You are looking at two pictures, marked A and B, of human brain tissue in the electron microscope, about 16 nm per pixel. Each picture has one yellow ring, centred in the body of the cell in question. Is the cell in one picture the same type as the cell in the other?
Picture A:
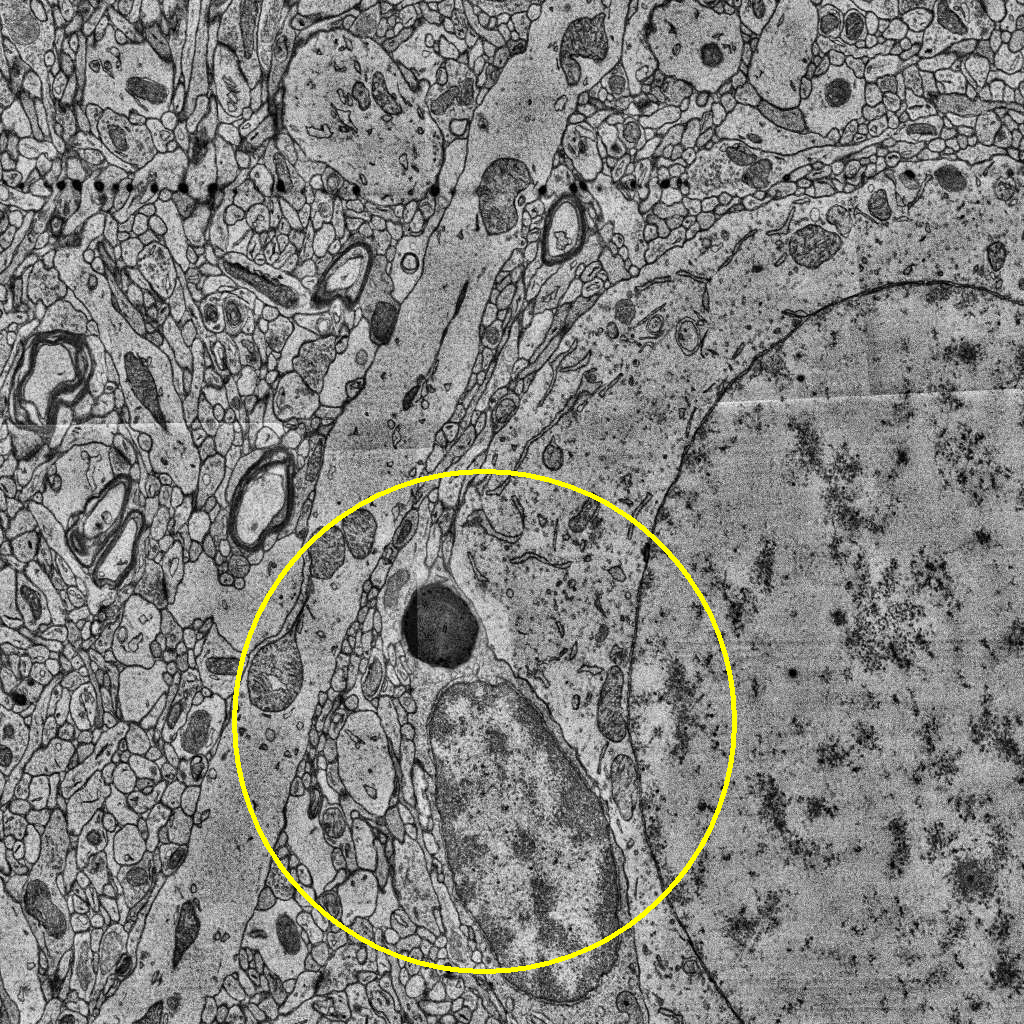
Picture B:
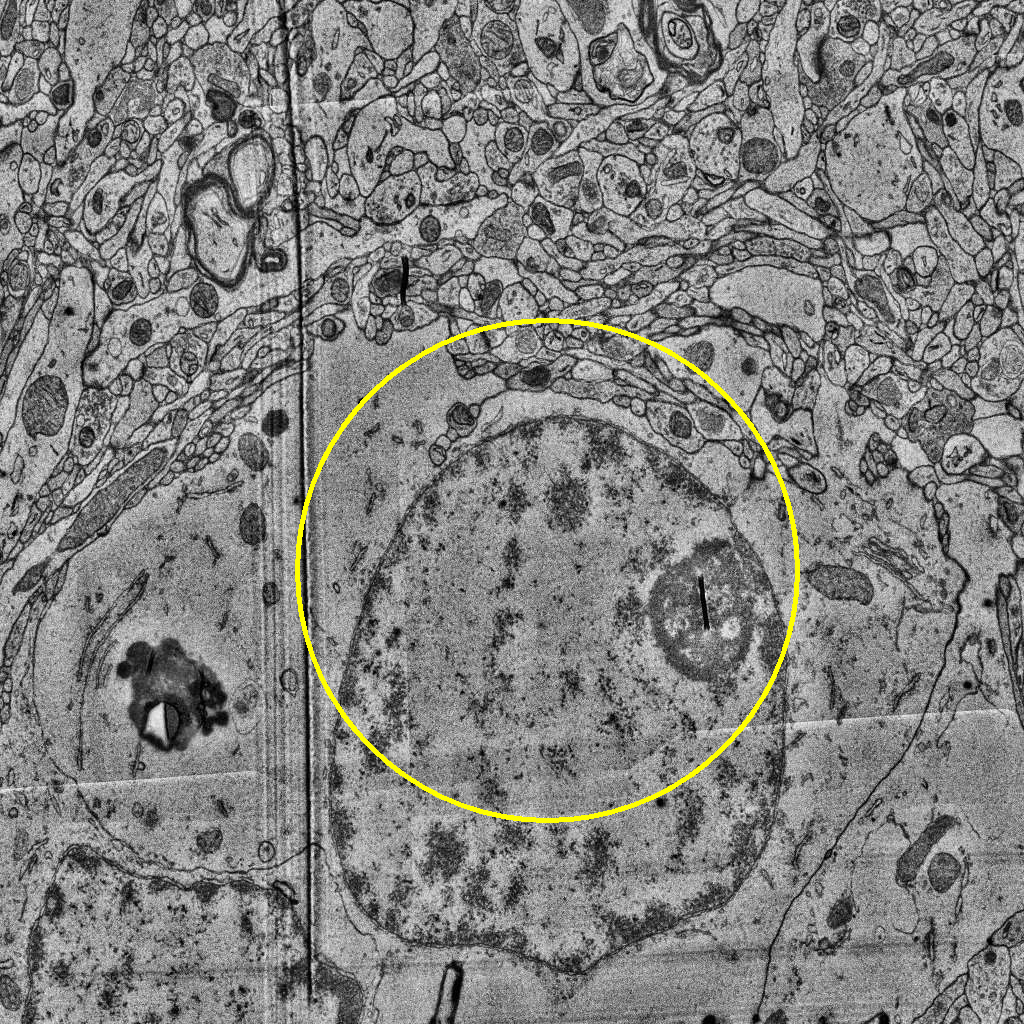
No; the cell in picture A is an oligodendrocyte, while the one in picture B is an astrocyte.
